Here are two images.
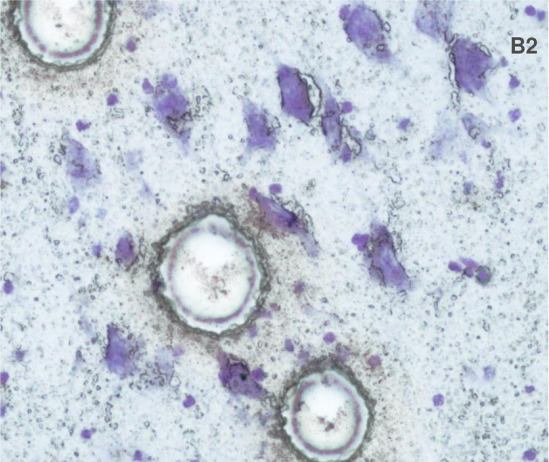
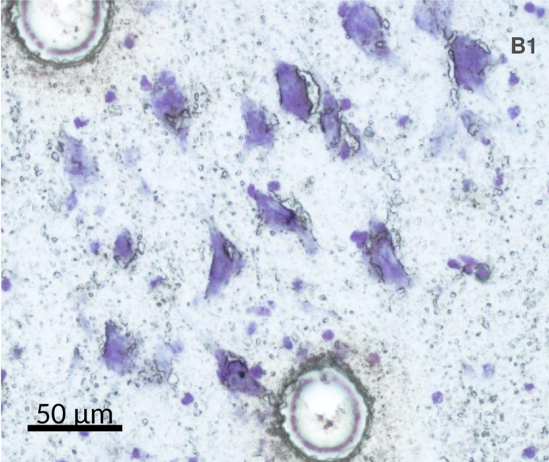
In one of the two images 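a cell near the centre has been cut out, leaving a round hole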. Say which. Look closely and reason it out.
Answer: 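Second image: the same central spot holds an intact violet triangular cell body.
Conclusion: the first image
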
